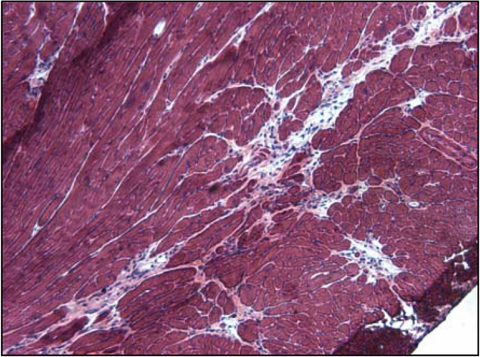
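Cardiac muscle with patchy fibrosis and widened interstitial space. Most of the field is taken up by pink-red muscle fibres running in long, roughly parallel bundles, with thin pale lines marking the spaces between individual fibres. Crossing the field are branching streaks of pale, loosely textured tissue in which small dark purple nuclei gather. Where the streaks widen, the muscle fibres are pushed apart and appear separated into smaller groups, while away from them the myocardium remains compact.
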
